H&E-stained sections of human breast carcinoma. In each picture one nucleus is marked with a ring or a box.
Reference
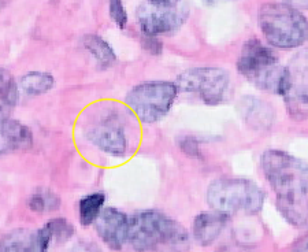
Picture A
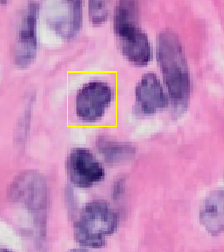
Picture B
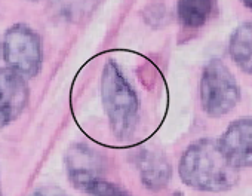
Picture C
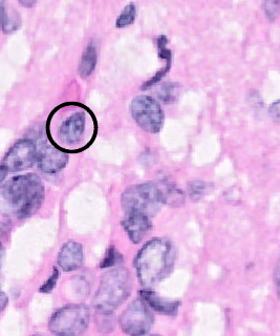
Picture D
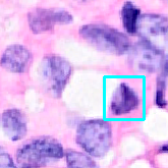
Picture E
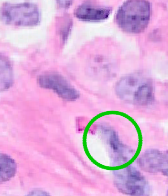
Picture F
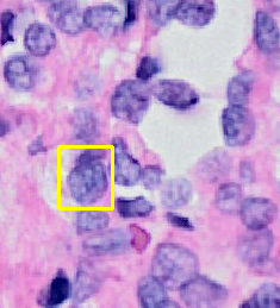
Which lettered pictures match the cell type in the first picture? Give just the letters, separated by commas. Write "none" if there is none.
D, F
